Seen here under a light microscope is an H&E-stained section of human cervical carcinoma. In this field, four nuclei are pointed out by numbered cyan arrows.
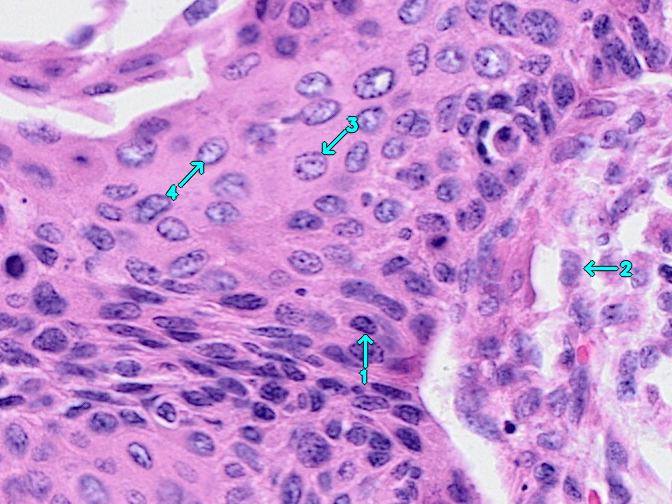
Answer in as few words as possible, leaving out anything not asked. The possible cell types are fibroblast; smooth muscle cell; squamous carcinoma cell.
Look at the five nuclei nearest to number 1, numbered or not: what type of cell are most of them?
squamous carcinoma cell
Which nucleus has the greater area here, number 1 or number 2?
2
